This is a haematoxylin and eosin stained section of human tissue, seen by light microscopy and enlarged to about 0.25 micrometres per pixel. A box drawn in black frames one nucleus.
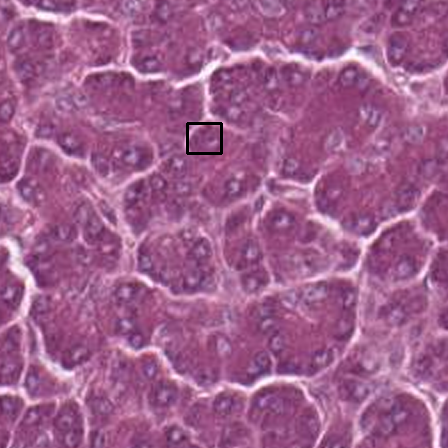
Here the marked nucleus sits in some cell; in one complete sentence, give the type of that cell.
It is to a pancreatic acinar cell that the marked nucleus belongs.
